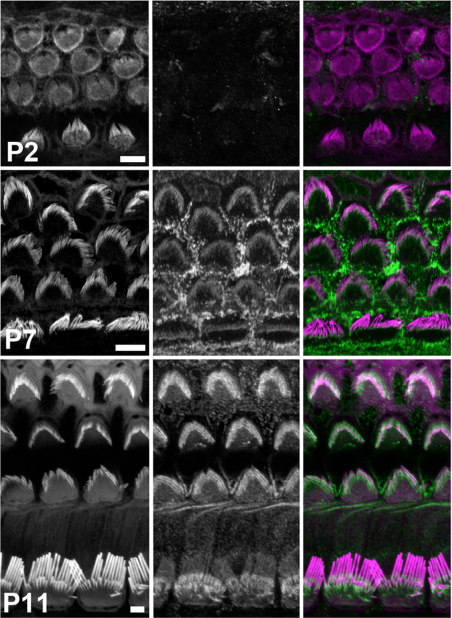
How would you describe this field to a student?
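This is a surface view of the organ of Corti showing rows of hair cells and their stereocilia bundles in magenta. Three rows of hair cells carry V- or crescent-shaped bundles, and a separate row lies below with flatter, straighter bundles. In the top row the bundles are small and the green label is nearly absent, with cell borders outlined in magenta. In the middle row green label appears along cell borders and around bundles.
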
